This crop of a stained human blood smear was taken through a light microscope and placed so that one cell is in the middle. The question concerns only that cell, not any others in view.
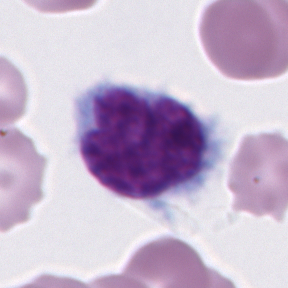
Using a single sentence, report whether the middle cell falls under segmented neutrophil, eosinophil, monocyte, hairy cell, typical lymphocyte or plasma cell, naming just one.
Answering briefly, the cell in the middle is a hairy cell.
